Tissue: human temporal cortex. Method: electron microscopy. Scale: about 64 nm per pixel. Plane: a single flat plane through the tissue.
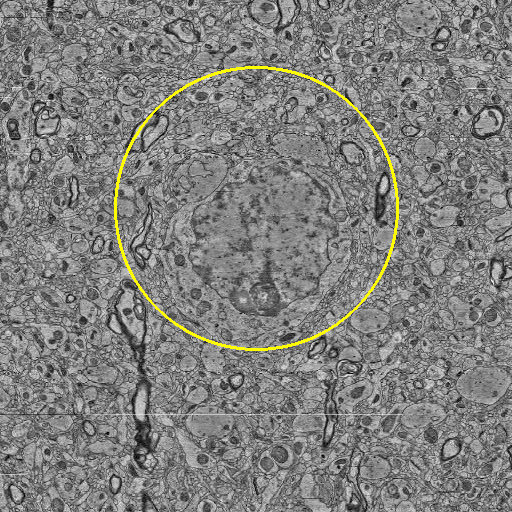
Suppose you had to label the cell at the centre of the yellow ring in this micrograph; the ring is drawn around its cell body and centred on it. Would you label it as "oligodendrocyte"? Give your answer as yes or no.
No, I would label it as another kind.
